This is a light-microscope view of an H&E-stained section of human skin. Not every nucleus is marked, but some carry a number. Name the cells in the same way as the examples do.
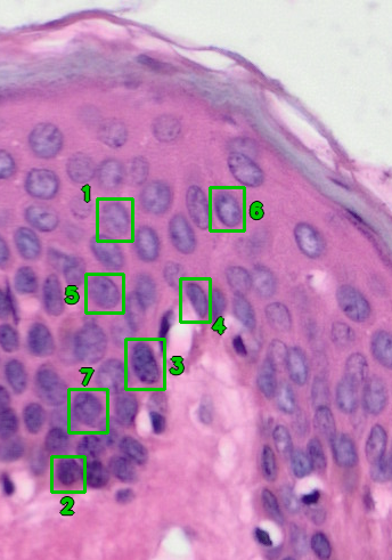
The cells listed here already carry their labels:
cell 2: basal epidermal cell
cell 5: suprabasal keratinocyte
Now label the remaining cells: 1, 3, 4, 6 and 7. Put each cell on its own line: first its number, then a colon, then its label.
1: suprabasal keratinocyte
3: basal epidermal cell
4: basal epidermal cell
6: suprabasal keratinocyte
7: basal epidermal cell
